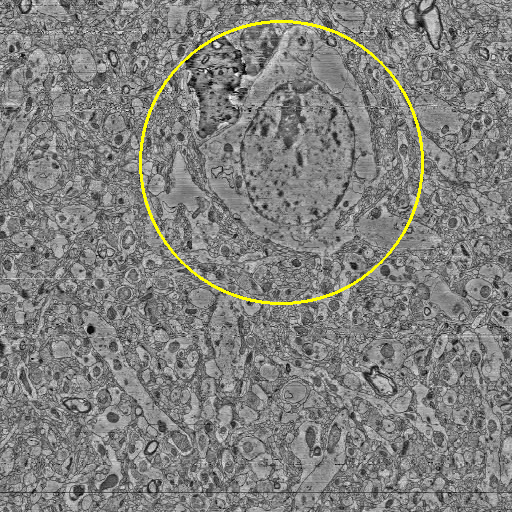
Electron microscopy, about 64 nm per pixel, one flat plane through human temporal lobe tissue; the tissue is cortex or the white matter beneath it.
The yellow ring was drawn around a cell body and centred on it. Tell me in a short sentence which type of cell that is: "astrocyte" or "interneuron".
The cell at the ring's centre is an astrocyte.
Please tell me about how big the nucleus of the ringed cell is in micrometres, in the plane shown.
Approximately 9 x 7 micrometres in this plane.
